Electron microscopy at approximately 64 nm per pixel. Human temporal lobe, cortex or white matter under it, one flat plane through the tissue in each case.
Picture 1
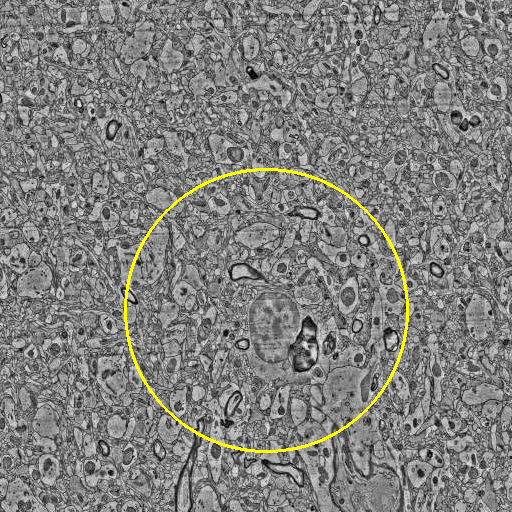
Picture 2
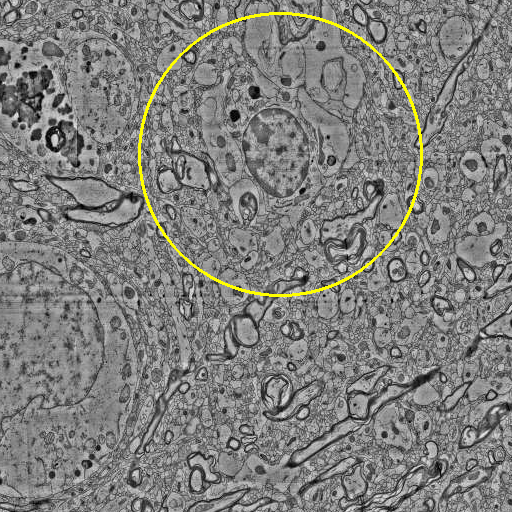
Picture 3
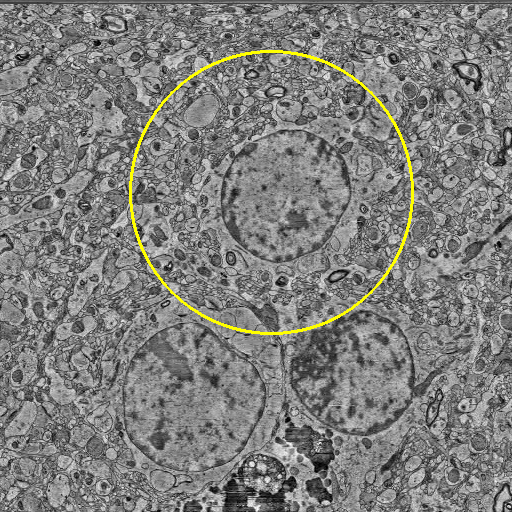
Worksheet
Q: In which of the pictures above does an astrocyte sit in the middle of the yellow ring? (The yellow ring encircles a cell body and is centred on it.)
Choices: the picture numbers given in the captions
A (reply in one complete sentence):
In picture 3, the cell sitting at the centre of the ring is the match.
